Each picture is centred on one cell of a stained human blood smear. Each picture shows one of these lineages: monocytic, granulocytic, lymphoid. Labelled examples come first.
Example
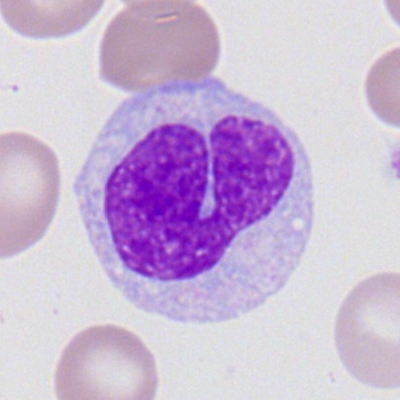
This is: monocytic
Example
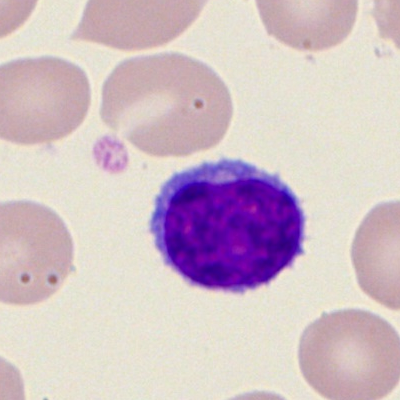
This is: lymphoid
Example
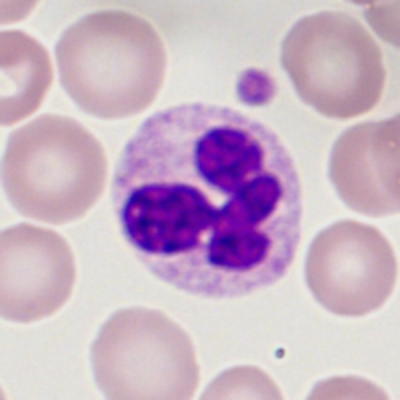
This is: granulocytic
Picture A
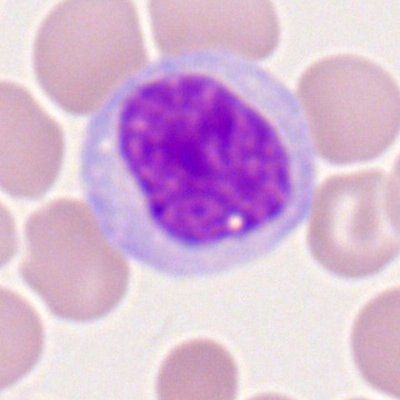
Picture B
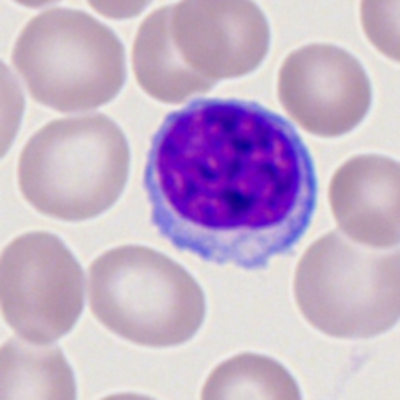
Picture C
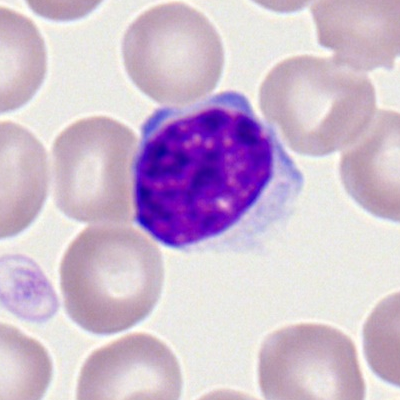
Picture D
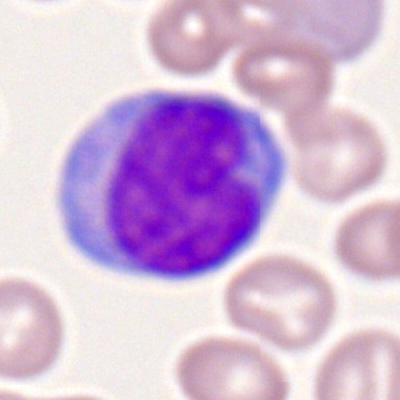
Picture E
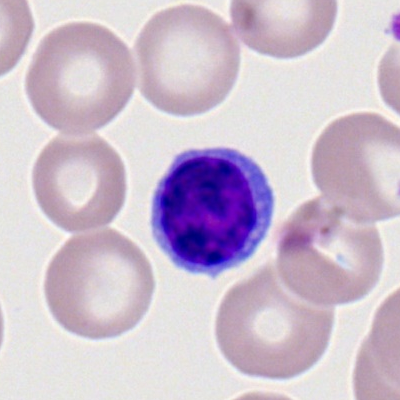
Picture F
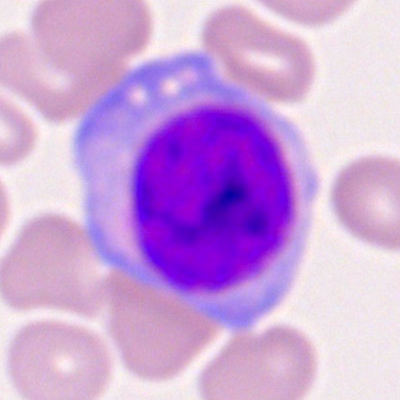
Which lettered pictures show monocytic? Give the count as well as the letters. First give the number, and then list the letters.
3: A, D, F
